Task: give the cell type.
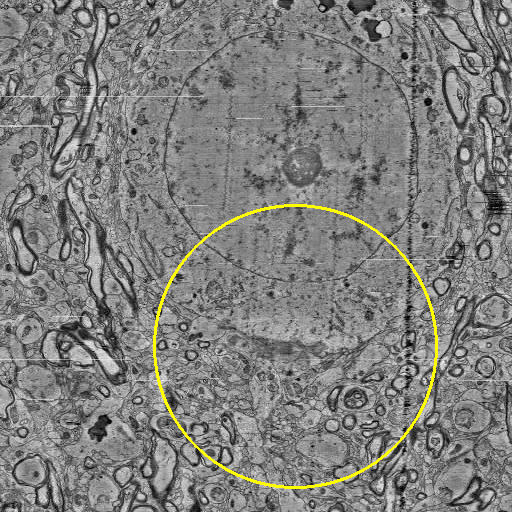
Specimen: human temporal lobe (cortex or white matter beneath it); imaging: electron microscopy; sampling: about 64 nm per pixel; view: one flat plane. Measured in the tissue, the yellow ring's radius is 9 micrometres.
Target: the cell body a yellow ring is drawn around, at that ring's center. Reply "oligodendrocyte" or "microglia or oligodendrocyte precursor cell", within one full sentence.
In this picture, the cell whose body lies at the ring's center is a microglial cell or oligodendrocyte precursor cell.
